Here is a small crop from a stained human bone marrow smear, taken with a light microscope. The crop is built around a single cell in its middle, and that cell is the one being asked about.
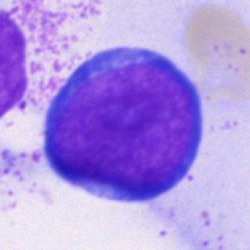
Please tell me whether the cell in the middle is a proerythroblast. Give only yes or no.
yes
